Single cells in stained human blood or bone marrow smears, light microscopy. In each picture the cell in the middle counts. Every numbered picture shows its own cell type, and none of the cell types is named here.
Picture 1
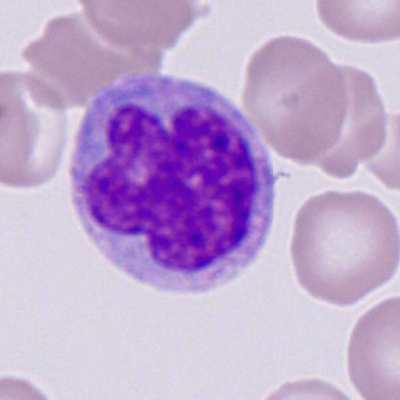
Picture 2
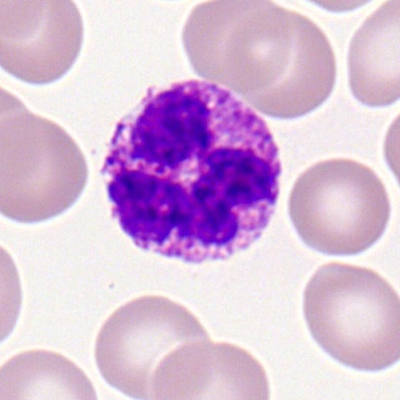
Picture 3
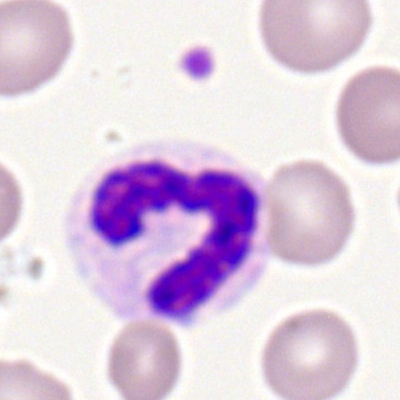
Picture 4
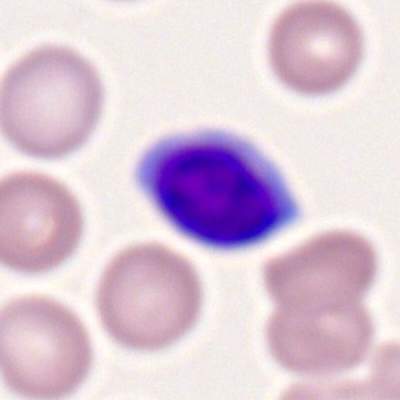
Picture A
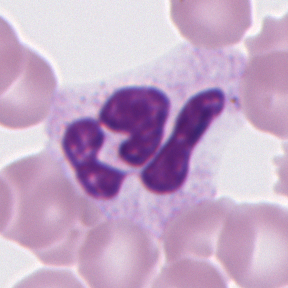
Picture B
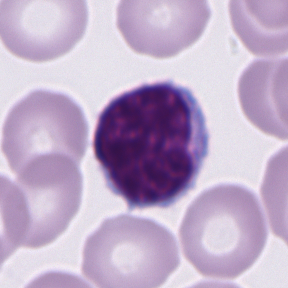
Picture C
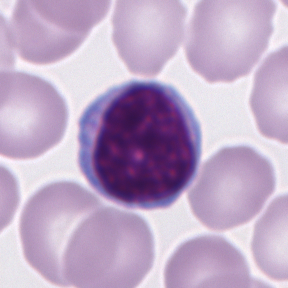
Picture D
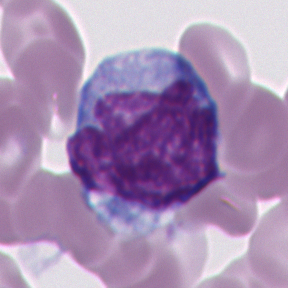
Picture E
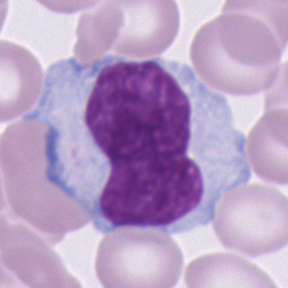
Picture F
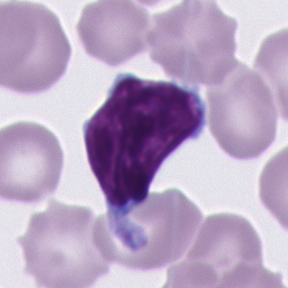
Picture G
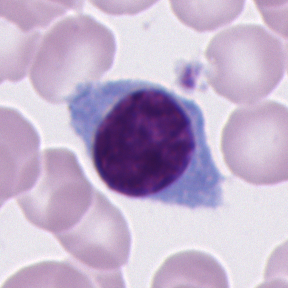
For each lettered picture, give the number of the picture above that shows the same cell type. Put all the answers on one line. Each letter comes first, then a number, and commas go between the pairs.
A 3, B 4, C 4, D 1, E 1, F 4, G 4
